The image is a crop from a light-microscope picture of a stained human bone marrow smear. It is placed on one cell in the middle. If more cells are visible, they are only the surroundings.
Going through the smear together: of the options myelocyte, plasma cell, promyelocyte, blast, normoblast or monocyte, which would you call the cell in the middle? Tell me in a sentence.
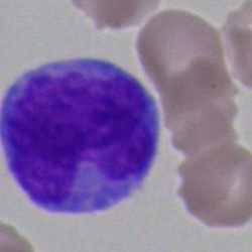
The central cell shown in this smear crop is a monocyte.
